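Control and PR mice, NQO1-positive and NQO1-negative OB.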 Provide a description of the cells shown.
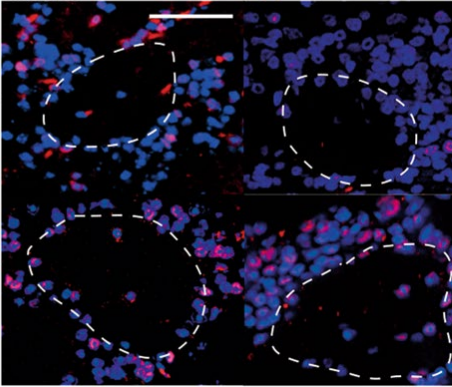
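Here glomeruli of the olfactory bulb appear as round, nearly cell-free areas surrounded by a crowded ring of small blue nuclei. Red nuclear label lies in some of the cells at the rim of the glomeruli, more in some fields than in others.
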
